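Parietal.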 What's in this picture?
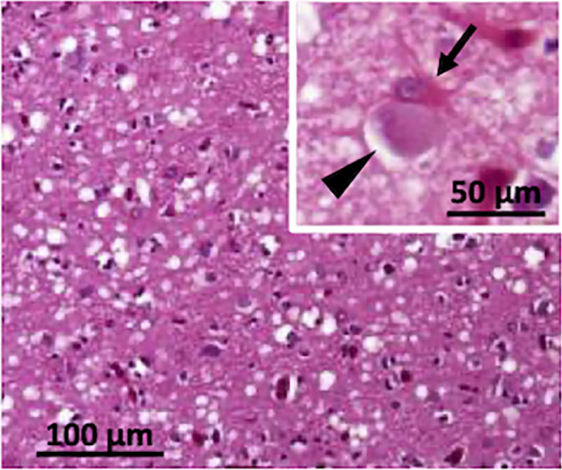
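This is cerebral cortex with spongiform degeneration. Throughout the pink neuropil lie many small to intermediate round clear vacuoles, scattered evenly across the field, together with dispersed purple nuclei of neurons and glial cells. The enlarged inset shows a ballooned neuron: a large, rounded cell with swollen, pale, glassy cytoplasm. Next to it is a reactive astrocyte, with a round nucleus, a pink cytoplasm and pink processes extending into the surrounding vacuolated neuropil. Small vacuoles also surround these cells in the inset.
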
